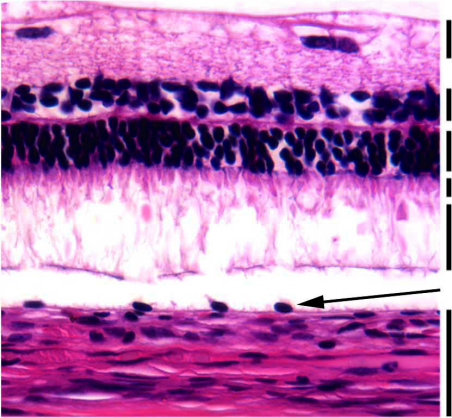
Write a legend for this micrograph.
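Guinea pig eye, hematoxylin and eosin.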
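This is the retina with the choroid beneath it. At the top is a loosely textured, pale pink layer holding a few scattered ganglion cell nuclei. Below it are two bands of densely packed, dark purple nuclei, the inner and outer nuclear layers, separated by a thin pink strip. Beneath these lie the pale, finely striated inner and outer segments of the photoreceptors, then a thin row of pigment epithelium cells resting on the cellular, vascular choroid.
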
